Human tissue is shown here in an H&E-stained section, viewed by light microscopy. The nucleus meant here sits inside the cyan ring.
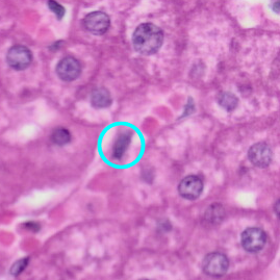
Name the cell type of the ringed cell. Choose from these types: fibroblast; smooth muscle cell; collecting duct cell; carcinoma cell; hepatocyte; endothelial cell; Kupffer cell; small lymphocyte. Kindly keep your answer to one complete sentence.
By cell type, the ringed cell is a Kupffer cell.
